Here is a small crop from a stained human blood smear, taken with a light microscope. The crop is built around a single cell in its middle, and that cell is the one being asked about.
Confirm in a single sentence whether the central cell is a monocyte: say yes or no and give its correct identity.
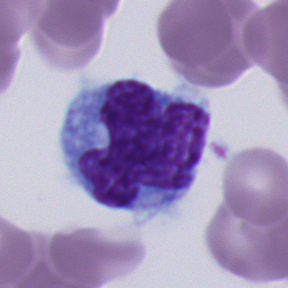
Yes, the cell found at the centre of the crop is a monocyte.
